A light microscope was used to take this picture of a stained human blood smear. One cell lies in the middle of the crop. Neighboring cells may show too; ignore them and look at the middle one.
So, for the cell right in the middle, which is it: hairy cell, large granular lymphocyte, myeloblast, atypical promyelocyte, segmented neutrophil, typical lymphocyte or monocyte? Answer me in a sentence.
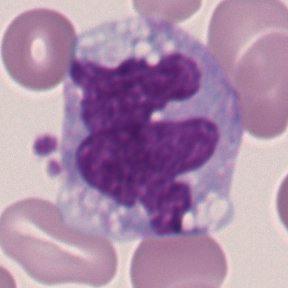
What the crop centres on is a monocyte.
